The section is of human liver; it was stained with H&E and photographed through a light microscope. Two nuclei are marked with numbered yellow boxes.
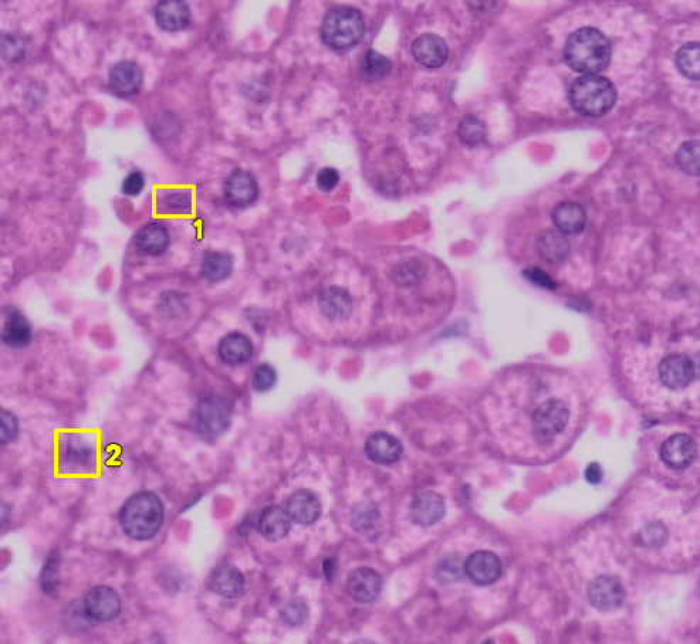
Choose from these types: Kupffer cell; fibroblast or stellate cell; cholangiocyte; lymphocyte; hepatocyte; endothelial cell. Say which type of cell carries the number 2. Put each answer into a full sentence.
The one labeled 2 is an endothelial cell, to put it simply.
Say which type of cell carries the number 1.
Cell 1 should be recorded as a Kupffer cell.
